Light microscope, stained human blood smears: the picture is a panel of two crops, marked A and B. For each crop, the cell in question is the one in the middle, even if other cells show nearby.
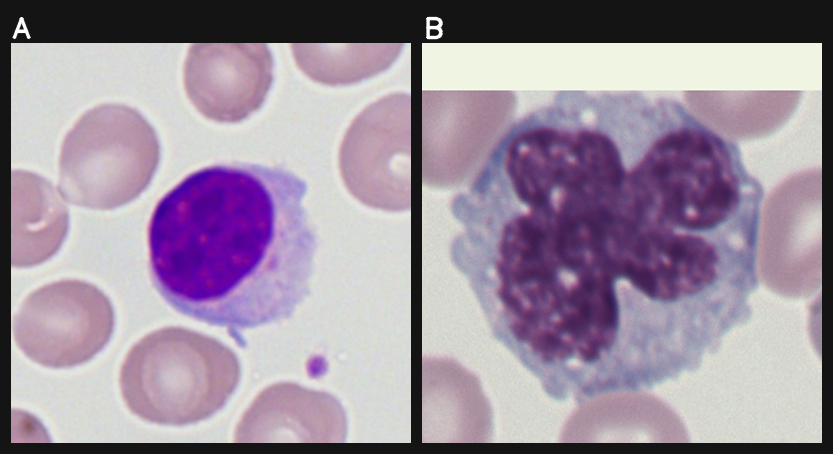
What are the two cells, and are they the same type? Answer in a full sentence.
No, the correct reading is a lymphocyte in crop A and a monocyte in crop B.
